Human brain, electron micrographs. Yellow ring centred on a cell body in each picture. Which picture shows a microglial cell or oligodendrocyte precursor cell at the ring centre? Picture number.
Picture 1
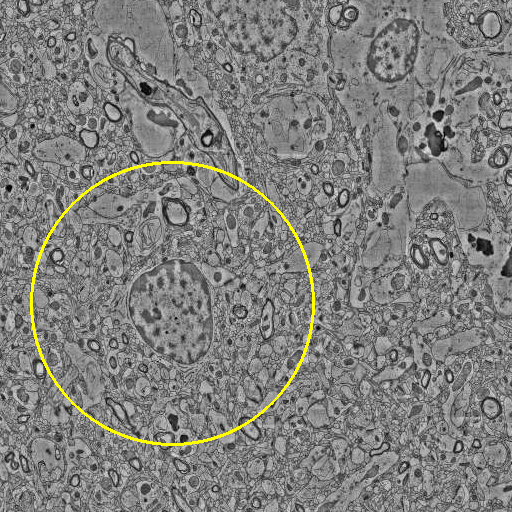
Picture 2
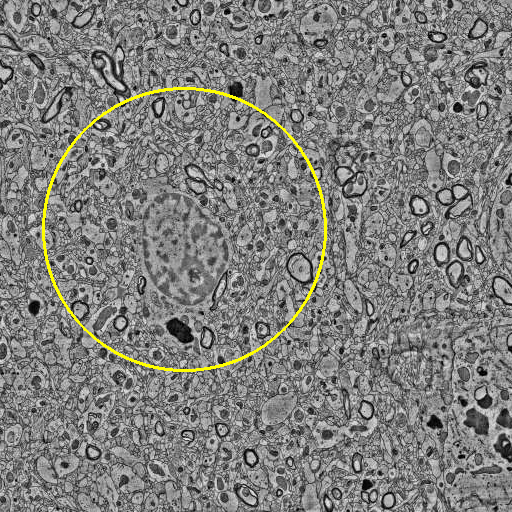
1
